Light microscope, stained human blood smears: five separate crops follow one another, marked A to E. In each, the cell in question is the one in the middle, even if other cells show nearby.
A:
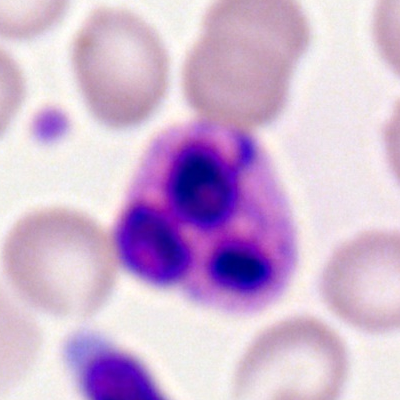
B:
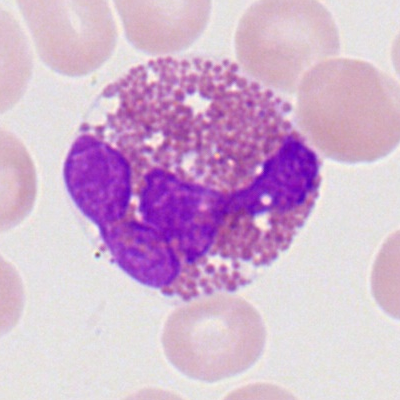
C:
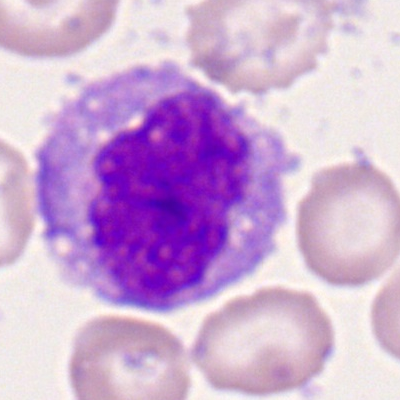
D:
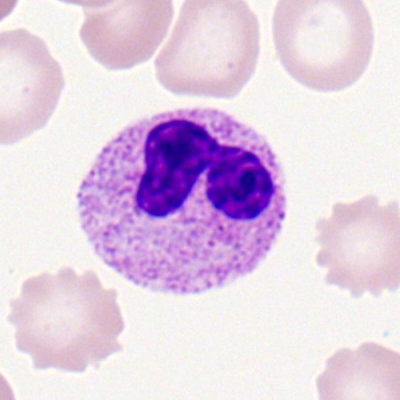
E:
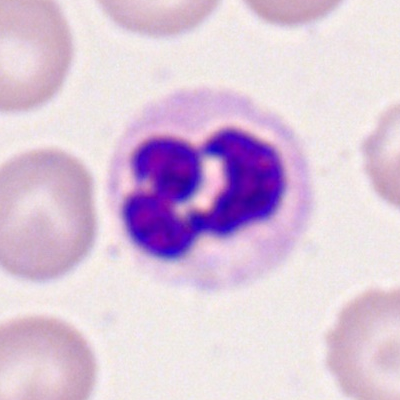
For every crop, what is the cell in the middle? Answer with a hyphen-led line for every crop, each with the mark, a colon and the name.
- A: basophil
- B: eosinophil
- C: monocyte
- D: segmented neutrophil
- E: segmented neutrophil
